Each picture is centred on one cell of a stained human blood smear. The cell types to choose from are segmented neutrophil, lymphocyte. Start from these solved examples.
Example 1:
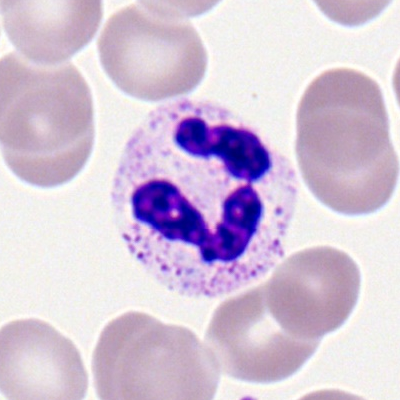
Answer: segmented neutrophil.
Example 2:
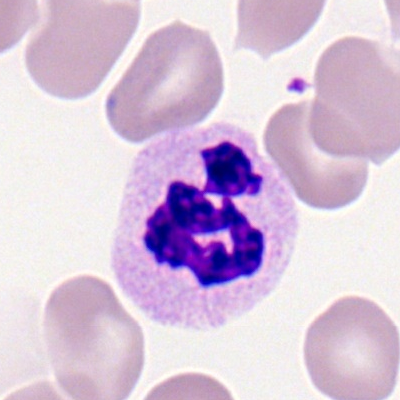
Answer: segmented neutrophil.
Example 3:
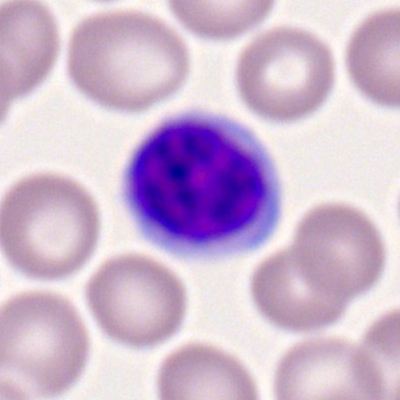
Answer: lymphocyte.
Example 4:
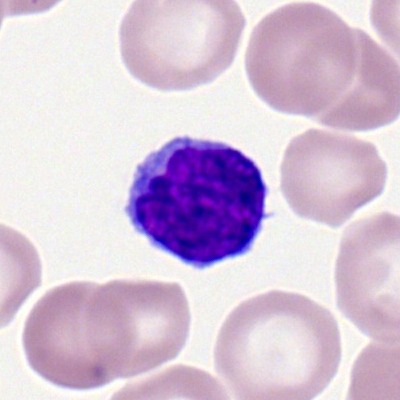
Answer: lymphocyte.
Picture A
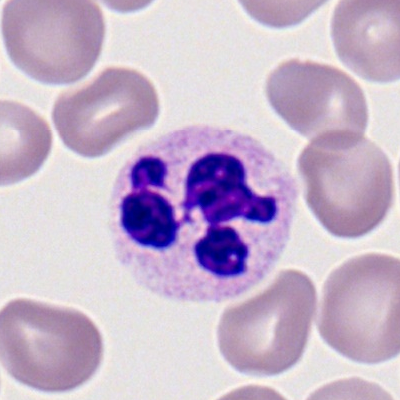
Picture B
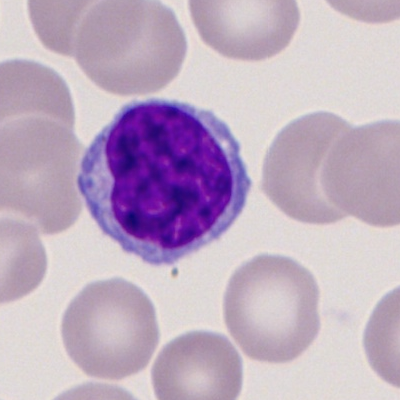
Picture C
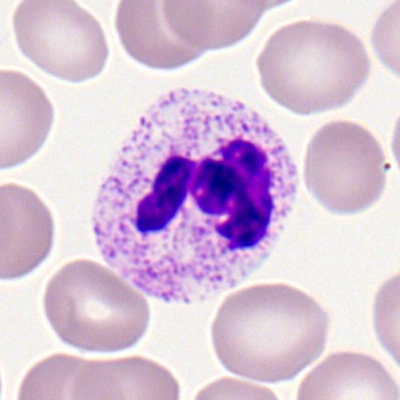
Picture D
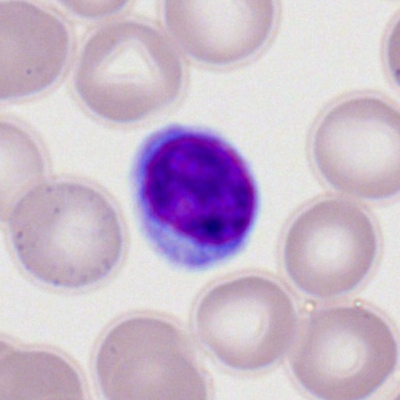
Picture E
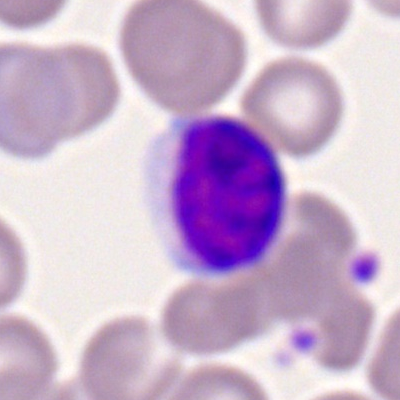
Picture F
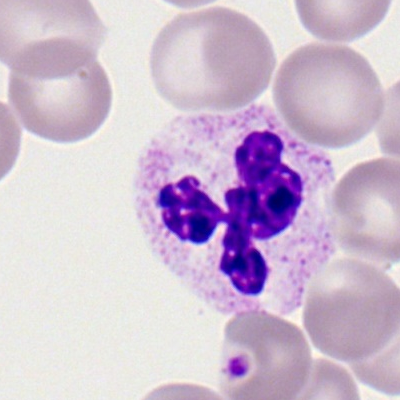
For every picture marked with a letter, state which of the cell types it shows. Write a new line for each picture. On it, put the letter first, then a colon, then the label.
A: segmented neutrophil.
B: lymphocyte.
C: segmented neutrophil.
D: lymphocyte.
E: lymphocyte.
F: segmented neutrophil.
